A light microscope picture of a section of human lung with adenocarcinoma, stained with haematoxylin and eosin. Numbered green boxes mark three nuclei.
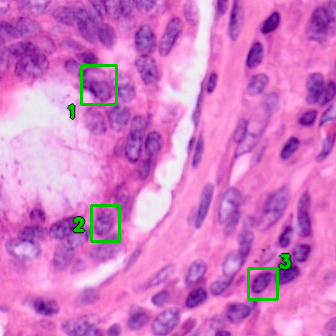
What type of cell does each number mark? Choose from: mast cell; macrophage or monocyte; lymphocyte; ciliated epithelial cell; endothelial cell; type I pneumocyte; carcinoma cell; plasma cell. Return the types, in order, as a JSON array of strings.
["ciliated epithelial cell", "ciliated epithelial cell", "plasma cell"]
